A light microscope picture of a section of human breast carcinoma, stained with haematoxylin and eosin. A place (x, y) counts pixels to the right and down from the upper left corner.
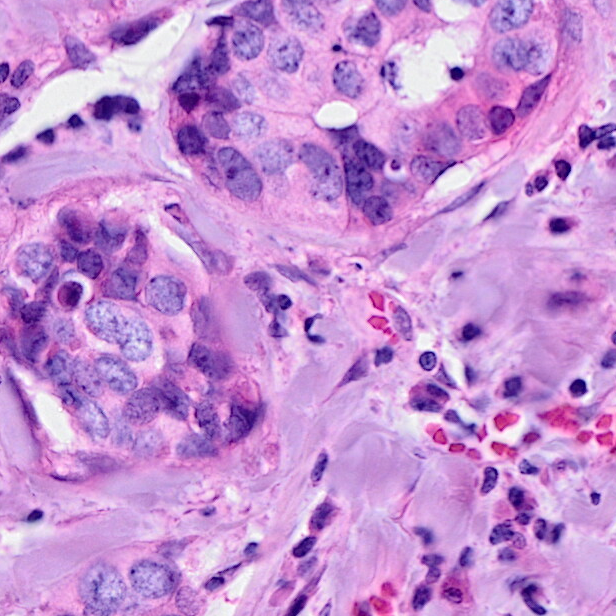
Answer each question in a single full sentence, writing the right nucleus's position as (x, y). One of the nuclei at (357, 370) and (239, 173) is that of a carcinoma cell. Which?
Of the two nuclei, the one sitting at (239, 173) belongs to a carcinoma cell.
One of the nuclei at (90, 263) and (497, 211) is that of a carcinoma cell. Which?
It is the nucleus at (90, 263) that belongs to a carcinoma cell.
